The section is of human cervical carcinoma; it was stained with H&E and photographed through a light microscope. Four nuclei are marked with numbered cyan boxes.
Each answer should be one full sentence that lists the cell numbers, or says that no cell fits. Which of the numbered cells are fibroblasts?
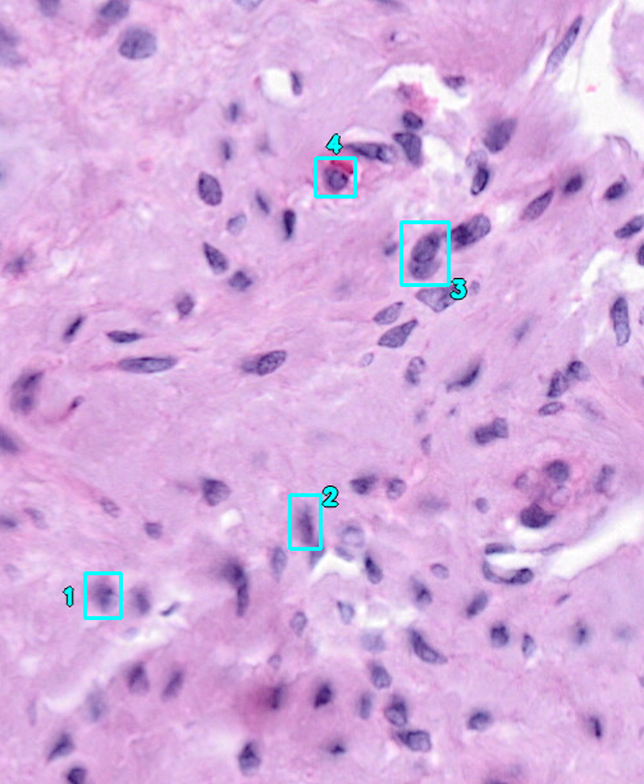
Each of the cells numbered 1, 2 and 3 is among the fibroblasts.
